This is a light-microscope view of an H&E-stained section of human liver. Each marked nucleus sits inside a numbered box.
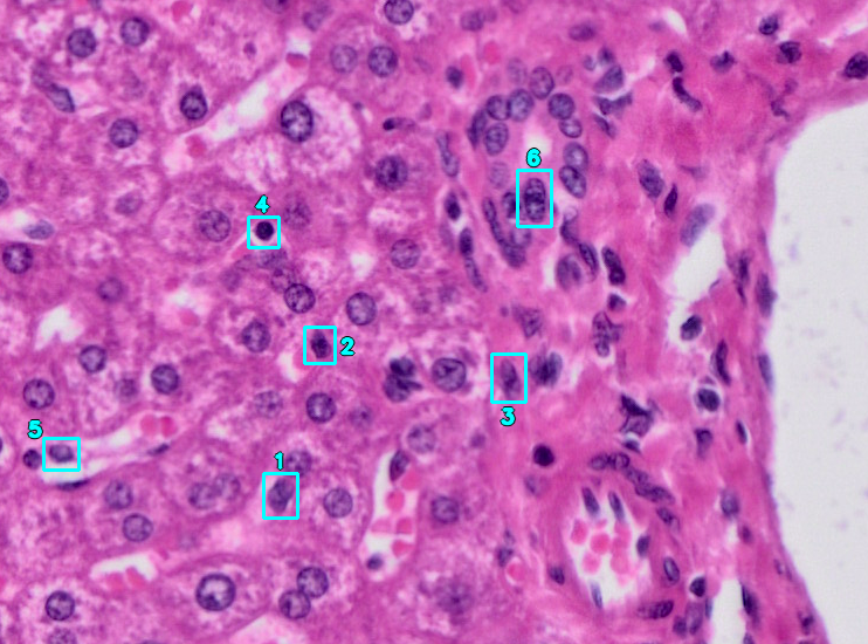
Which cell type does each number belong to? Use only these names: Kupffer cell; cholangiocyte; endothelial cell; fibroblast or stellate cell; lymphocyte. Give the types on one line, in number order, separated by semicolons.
endothelial cell; fibroblast or stellate cell; fibroblast or stellate cell; lymphocyte; Kupffer cell; cholangiocyte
